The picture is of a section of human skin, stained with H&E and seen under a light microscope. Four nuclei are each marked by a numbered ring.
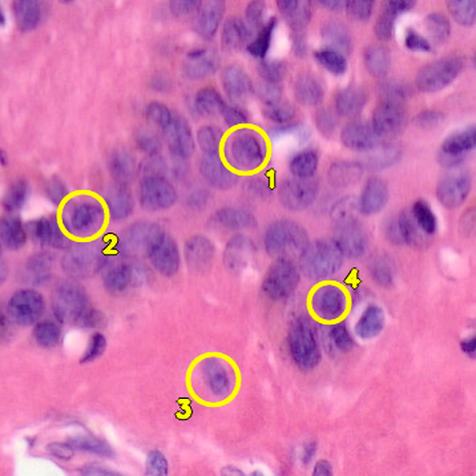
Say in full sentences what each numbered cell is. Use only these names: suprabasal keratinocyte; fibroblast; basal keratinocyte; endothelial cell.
Cells 1, 2 and 4 are basal keratinocytes. Cell 3 is a fibroblast.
